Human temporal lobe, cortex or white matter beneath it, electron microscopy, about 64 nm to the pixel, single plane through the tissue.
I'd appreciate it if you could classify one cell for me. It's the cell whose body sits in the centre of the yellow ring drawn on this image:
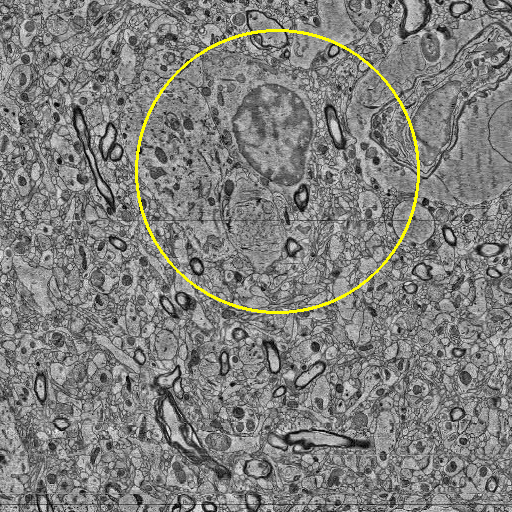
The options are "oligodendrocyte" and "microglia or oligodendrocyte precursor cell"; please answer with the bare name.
oligodendrocyte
